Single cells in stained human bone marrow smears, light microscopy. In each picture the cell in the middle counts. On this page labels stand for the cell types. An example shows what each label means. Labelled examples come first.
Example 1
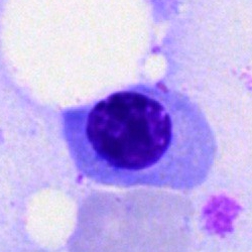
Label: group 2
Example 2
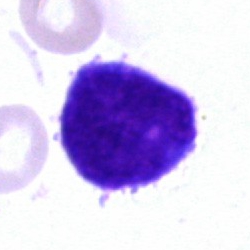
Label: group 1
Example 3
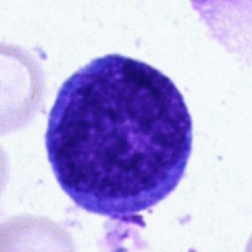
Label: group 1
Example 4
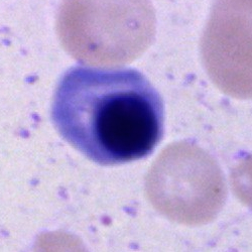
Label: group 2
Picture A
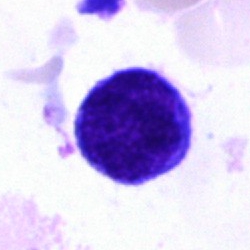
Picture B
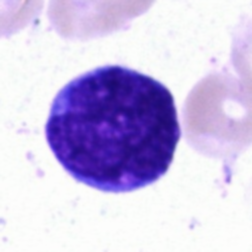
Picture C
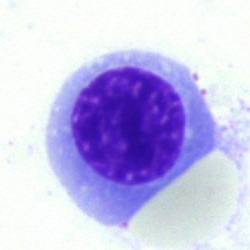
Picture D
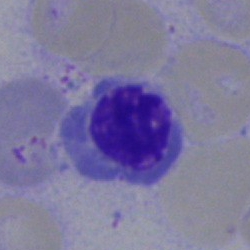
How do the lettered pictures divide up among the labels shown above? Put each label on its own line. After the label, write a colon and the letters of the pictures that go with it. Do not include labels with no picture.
group 2: C, D
group 1: A, B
